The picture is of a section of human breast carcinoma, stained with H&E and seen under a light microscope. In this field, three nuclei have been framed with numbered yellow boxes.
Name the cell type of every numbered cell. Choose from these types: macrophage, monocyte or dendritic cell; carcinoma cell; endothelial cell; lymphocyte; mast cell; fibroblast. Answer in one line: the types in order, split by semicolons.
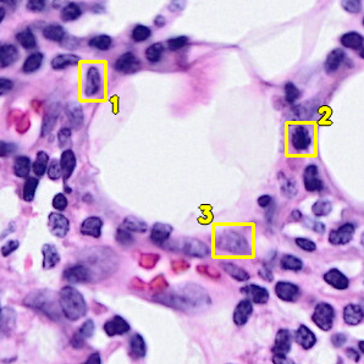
lymphocyte; lymphocyte; endothelial cell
